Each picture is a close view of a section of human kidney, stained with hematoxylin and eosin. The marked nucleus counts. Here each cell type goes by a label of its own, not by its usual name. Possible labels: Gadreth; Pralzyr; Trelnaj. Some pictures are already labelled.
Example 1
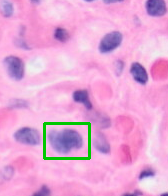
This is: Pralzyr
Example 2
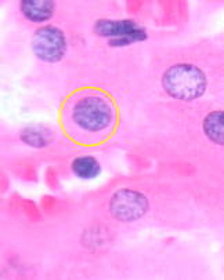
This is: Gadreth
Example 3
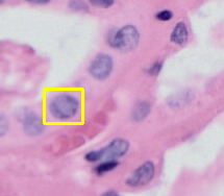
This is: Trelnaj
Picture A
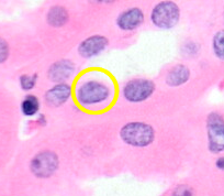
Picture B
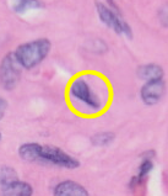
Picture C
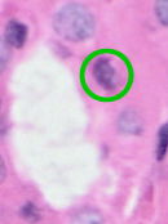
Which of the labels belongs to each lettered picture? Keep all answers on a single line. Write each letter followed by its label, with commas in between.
A Trelnaj, B Pralzyr, C Gadreth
